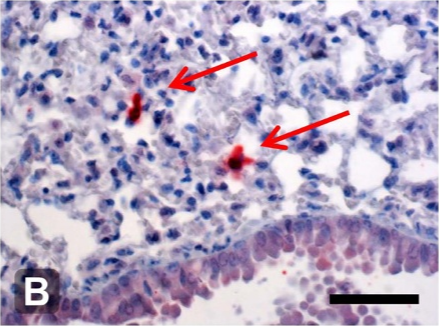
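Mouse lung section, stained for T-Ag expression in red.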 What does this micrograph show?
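Along the lower edge runs an airway lined by a tall columnar epithelium whose nuclei form a row near the base, with pink cytoplasm above. The red cells are irregular in outline and larger than the surrounding nuclei; no other red cells are seen in the field.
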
